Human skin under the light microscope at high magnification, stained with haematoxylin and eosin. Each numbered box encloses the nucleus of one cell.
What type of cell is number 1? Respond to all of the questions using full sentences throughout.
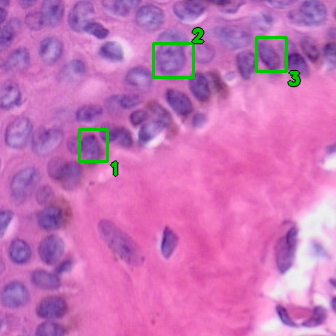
The nucleus marked 1 is the nucleus of a basal keratinocyte.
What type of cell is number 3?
Cell 3 should be recorded as a basal keratinocyte.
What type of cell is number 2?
Cell 2 in the field is a suprabasal keratinocyte.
